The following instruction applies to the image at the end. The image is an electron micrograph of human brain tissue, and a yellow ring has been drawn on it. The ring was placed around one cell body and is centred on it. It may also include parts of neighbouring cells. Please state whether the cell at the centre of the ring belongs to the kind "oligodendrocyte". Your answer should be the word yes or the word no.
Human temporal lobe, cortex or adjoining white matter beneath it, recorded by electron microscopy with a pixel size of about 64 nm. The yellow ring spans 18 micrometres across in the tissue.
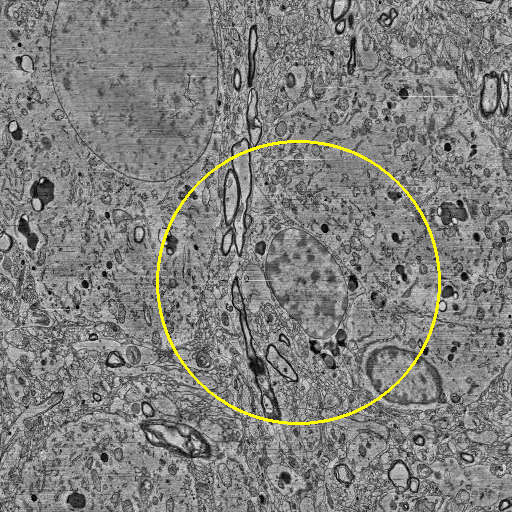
no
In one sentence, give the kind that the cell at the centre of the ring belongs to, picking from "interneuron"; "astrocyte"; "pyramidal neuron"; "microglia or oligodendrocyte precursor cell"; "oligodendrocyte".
What the ring is centred on is a microglial cell or oligodendrocyte precursor cell.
